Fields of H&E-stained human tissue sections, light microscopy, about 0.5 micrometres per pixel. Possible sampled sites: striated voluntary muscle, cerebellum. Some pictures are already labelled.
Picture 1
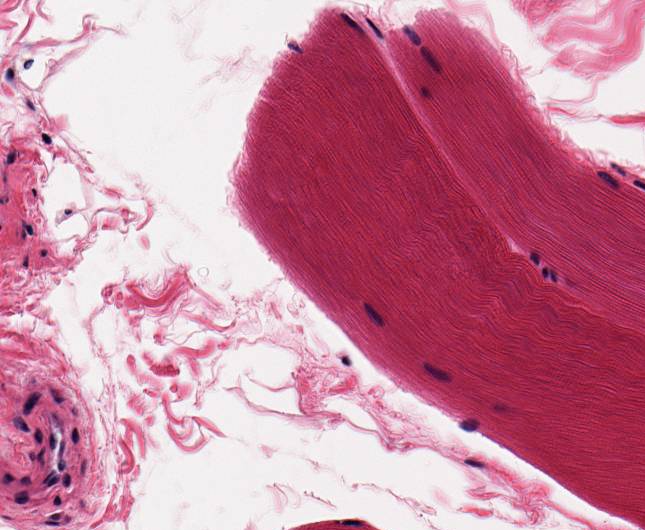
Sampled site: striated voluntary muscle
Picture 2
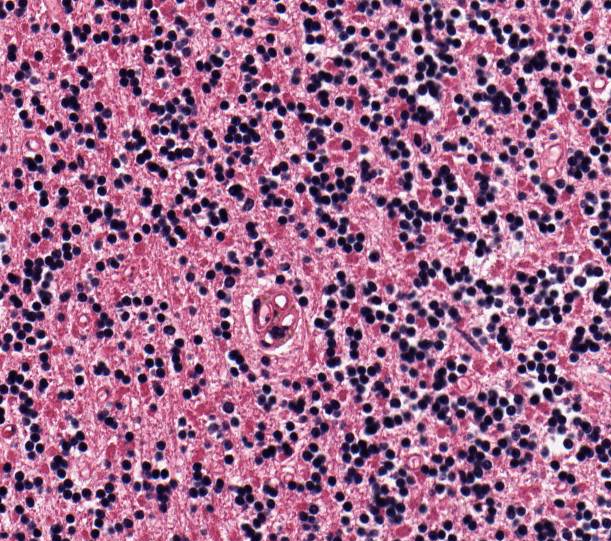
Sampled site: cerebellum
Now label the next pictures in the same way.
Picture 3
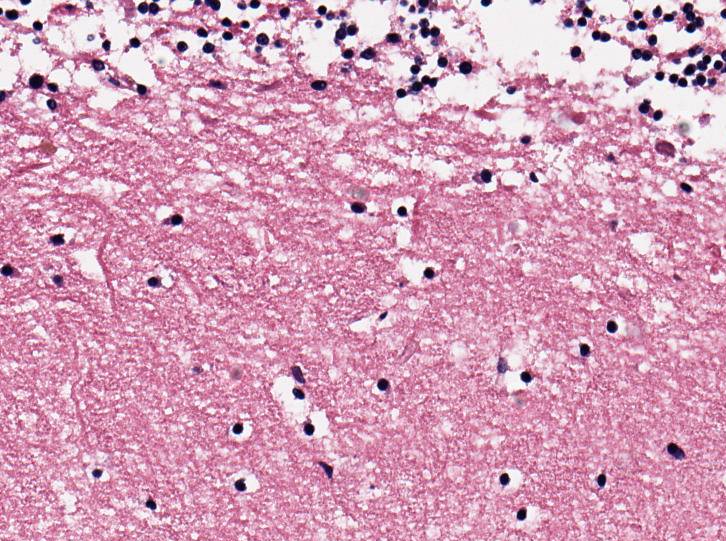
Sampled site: cerebellum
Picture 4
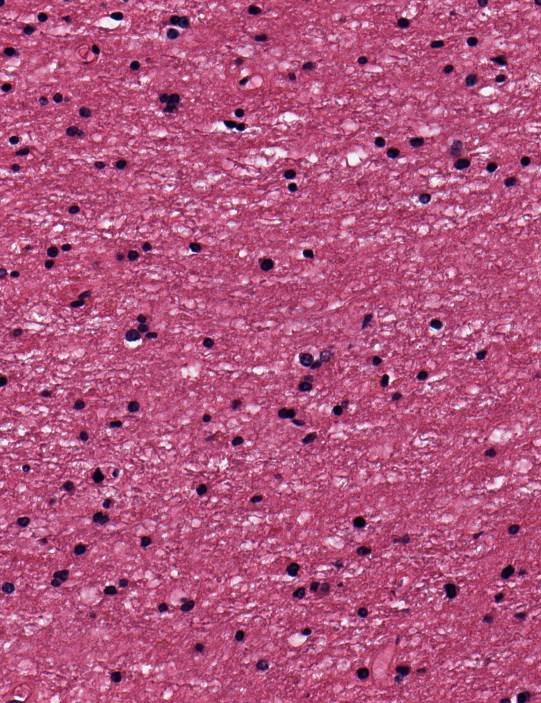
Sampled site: cerebellum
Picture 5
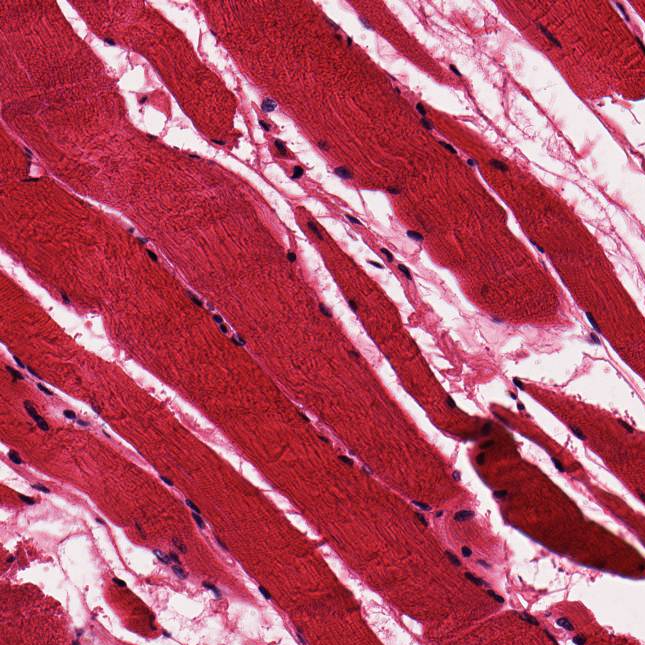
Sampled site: striated voluntary muscle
